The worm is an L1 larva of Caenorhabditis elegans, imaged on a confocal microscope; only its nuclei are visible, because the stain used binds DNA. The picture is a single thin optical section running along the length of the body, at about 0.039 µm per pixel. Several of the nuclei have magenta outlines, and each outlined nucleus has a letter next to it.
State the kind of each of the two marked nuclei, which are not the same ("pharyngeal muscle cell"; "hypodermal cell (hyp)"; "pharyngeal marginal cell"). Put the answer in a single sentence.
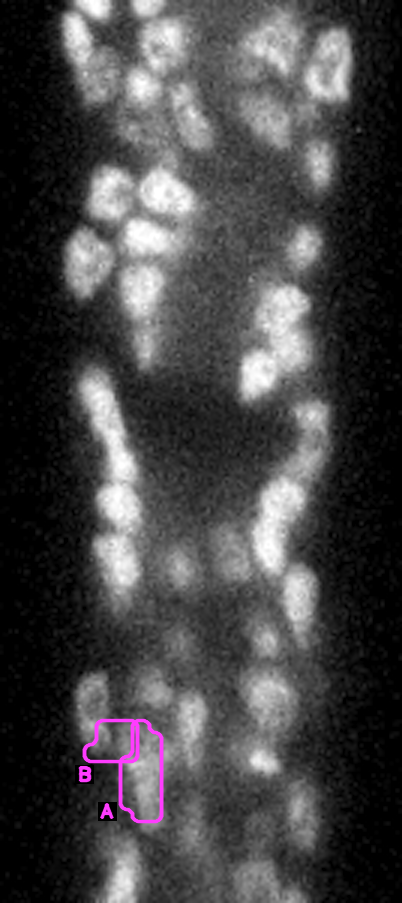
A is the nucleus of a pharyngeal marginal cell; B is the nucleus of a hypodermal cell (hyp).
